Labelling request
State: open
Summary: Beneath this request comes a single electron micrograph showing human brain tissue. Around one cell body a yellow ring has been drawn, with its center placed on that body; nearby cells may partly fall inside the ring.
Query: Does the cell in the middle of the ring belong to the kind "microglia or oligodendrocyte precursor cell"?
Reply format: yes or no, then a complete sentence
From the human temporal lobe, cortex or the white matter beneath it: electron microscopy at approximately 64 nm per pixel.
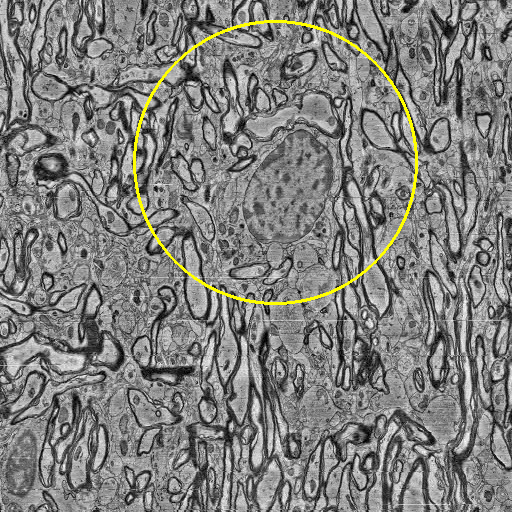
Yes, the cell sitting at the center of the ring in this picture is of that kind.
